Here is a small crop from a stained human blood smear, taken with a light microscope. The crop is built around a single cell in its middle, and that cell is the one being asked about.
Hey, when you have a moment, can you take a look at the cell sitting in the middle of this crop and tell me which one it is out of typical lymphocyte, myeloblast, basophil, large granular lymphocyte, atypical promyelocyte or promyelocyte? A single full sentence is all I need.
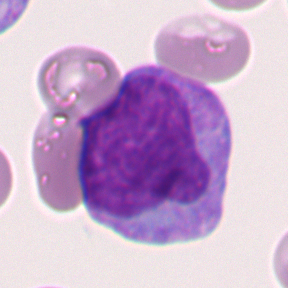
On this slide crop, the central cell is an atypical promyelocyte.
